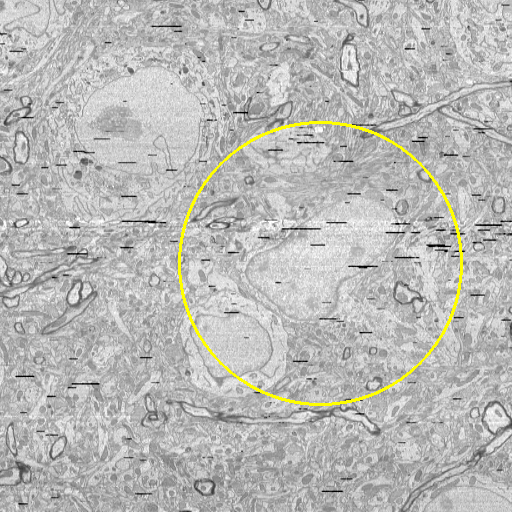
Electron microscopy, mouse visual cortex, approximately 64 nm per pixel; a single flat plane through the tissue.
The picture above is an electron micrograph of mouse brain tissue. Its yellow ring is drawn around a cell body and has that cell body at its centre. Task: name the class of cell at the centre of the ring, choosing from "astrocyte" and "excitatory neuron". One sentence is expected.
The ring surrounds the body of an astrocyte.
